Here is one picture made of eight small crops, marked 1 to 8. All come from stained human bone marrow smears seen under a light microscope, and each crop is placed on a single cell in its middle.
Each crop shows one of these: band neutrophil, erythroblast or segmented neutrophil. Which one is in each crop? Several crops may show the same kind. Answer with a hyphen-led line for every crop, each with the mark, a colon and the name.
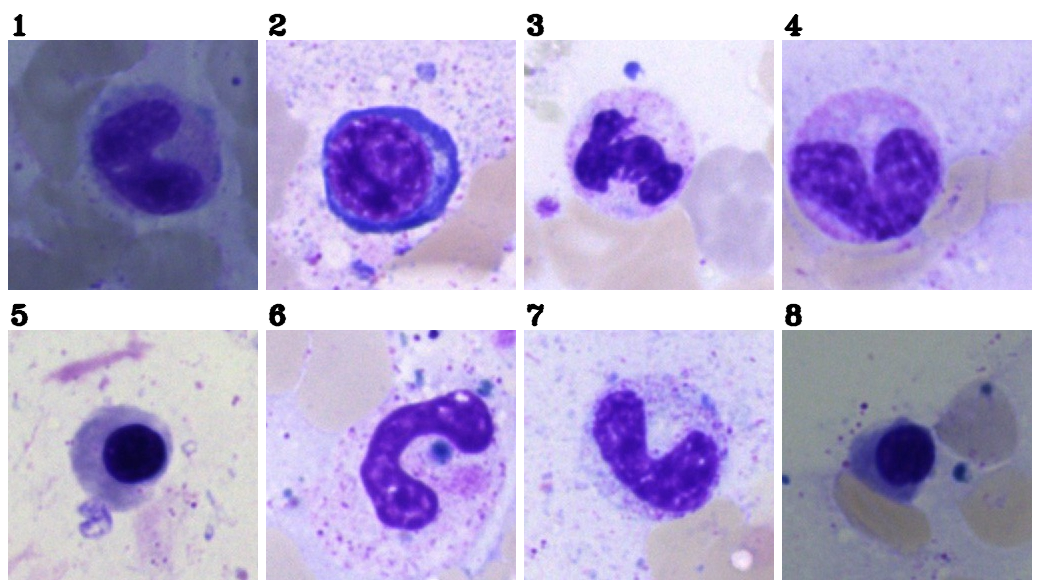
- 1: band neutrophil
- 2: erythroblast
- 3: segmented neutrophil
- 4: band neutrophil
- 5: erythroblast
- 6: band neutrophil
- 7: band neutrophil
- 8: erythroblast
